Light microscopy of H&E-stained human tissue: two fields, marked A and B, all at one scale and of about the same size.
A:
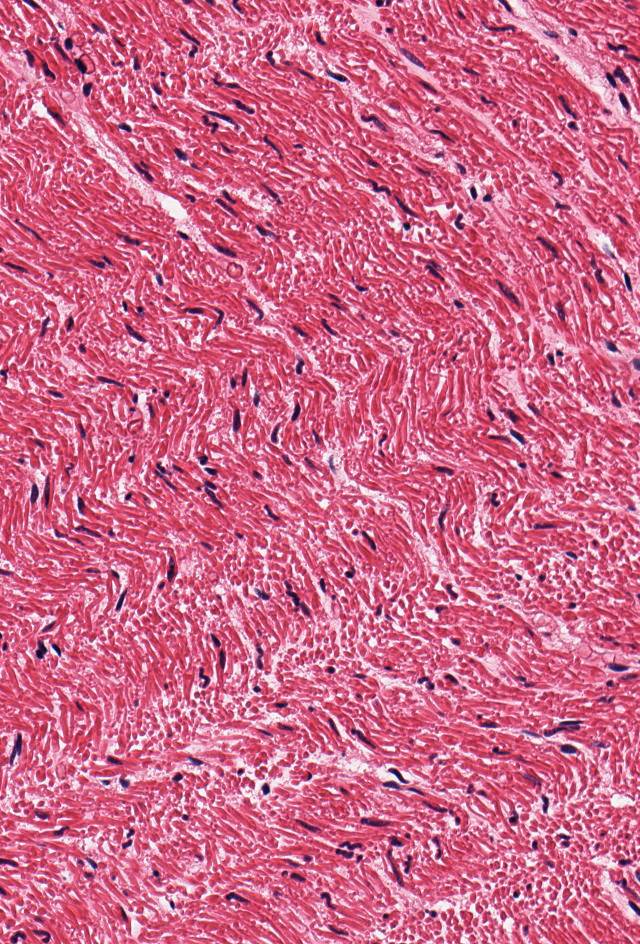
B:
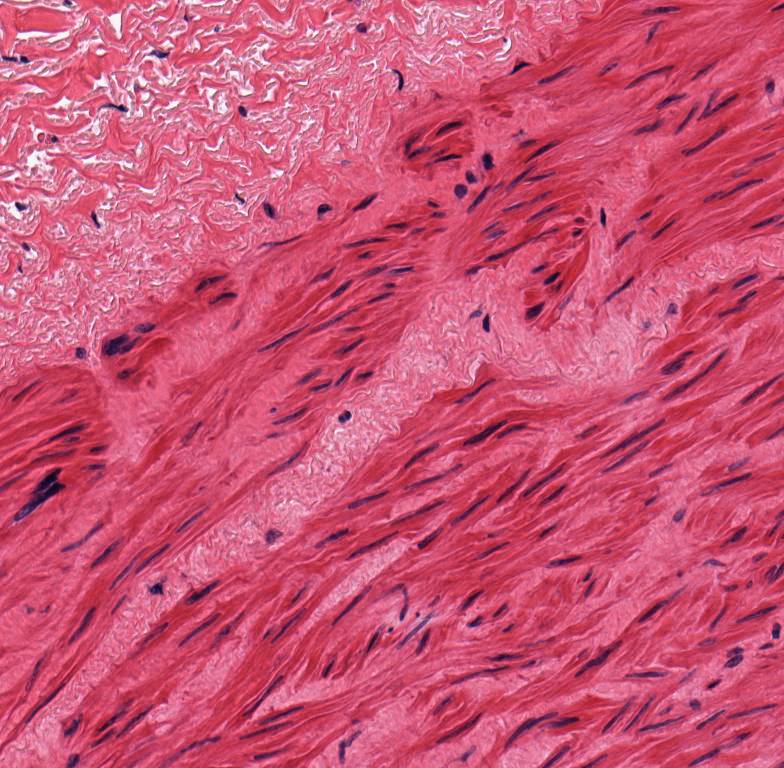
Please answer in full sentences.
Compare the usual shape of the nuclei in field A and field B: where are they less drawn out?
Rounder nuclei lie in field A.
